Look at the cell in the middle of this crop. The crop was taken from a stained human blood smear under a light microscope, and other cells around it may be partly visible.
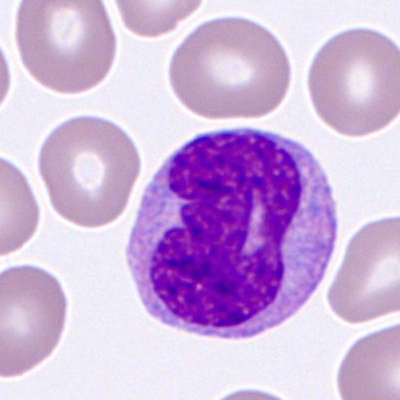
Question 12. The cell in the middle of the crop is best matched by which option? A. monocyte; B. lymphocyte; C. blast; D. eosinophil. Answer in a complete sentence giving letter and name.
What option A states is correct, the central cell being a monocyte.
